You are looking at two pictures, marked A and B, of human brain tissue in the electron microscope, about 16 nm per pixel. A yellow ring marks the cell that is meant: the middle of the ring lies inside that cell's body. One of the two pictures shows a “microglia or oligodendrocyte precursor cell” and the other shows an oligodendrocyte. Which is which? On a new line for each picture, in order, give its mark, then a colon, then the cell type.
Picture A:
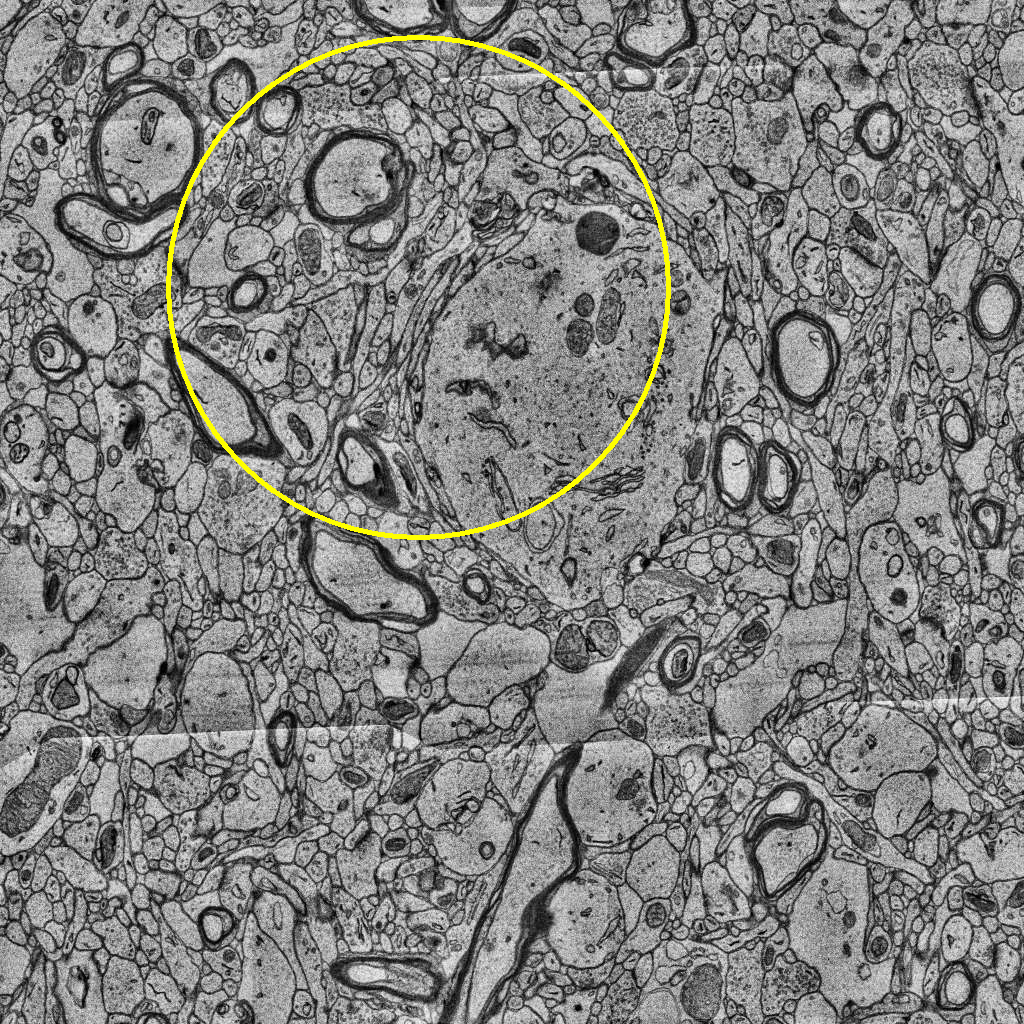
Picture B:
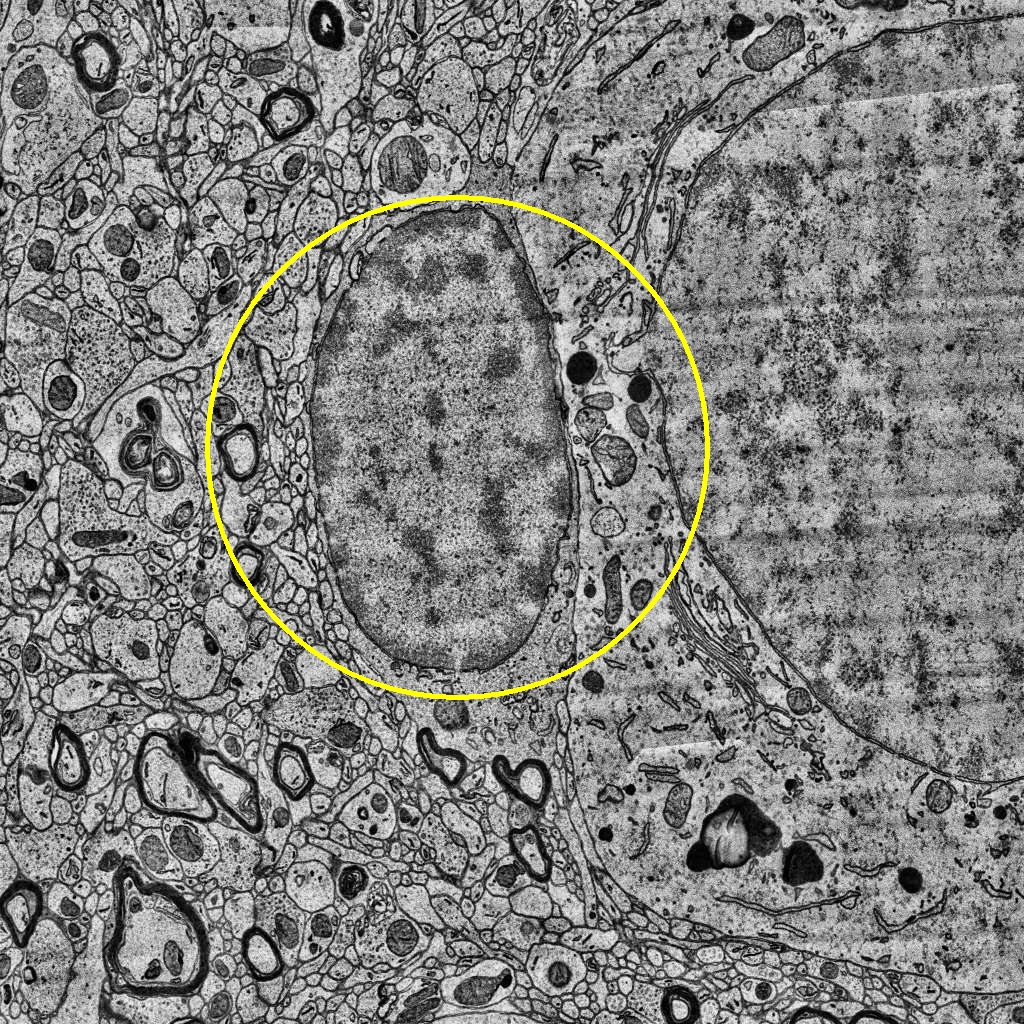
A: microglia or oligodendrocyte precursor cell
B: oligodendrocyte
